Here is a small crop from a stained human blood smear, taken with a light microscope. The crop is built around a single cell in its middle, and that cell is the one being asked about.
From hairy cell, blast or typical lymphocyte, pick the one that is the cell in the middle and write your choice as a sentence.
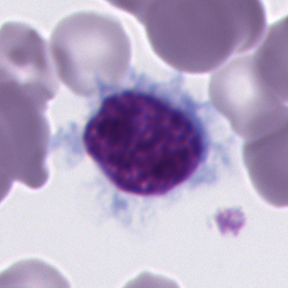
As for the central cell, it is a hairy cell.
